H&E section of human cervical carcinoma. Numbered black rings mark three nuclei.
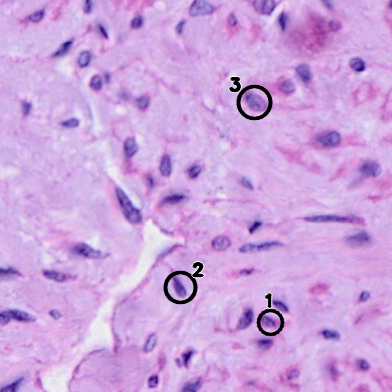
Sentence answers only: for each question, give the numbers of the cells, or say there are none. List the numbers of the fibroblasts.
Only number 2 is a fibroblast; none of the others are.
